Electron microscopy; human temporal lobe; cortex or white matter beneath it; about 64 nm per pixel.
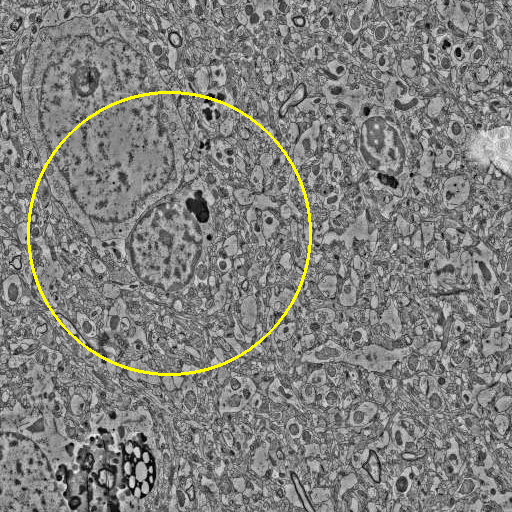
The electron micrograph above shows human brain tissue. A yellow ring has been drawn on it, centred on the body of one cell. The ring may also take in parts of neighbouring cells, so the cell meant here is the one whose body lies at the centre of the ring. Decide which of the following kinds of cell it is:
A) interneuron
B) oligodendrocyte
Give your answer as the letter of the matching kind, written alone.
B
